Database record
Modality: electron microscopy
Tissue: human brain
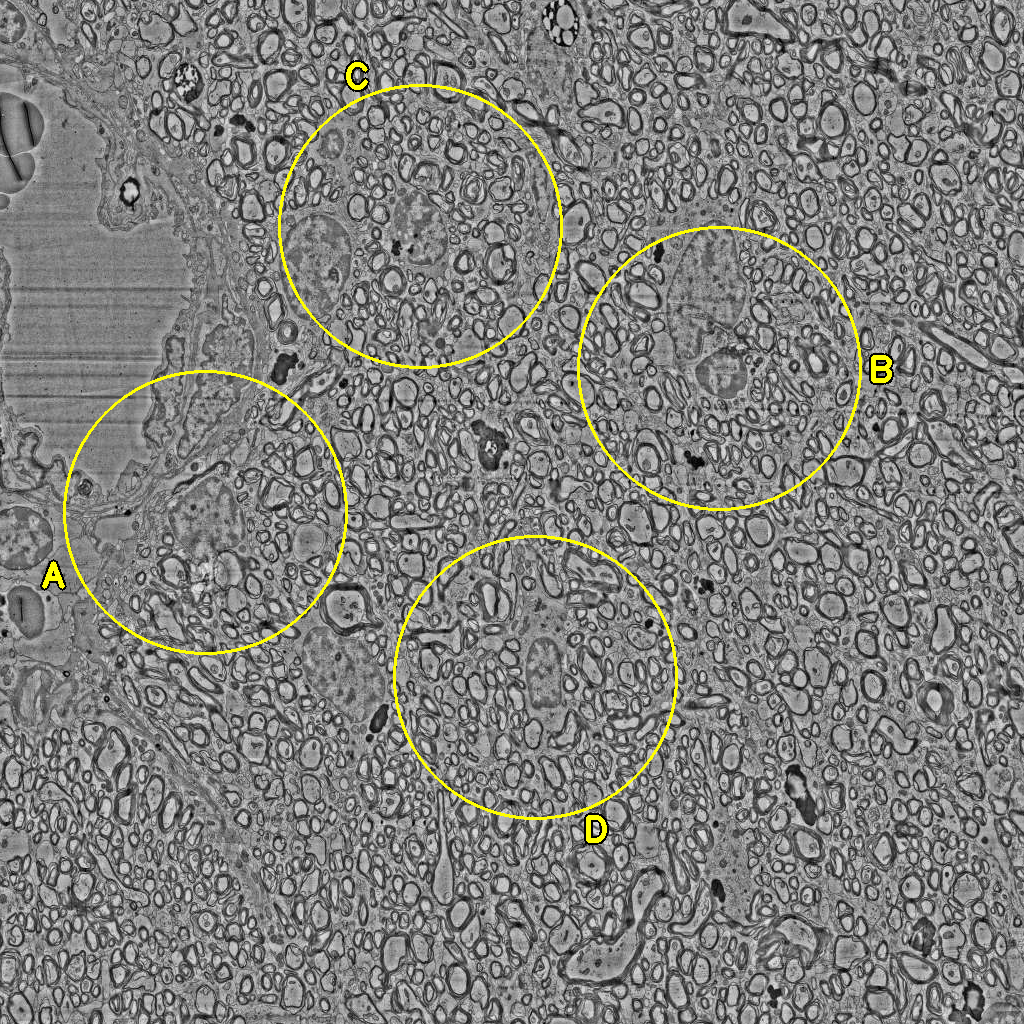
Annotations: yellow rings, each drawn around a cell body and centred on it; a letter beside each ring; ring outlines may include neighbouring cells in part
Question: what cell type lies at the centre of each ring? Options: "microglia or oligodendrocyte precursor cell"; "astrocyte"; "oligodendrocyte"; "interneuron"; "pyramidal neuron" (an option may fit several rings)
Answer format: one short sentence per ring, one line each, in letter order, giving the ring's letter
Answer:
Ring A corresponds to an oligodendrocyte.
Ring B corresponds to a microglial cell or oligodendrocyte precursor cell.
Ring C corresponds to an oligodendrocyte.
Ring D corresponds to an oligodendrocyte.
